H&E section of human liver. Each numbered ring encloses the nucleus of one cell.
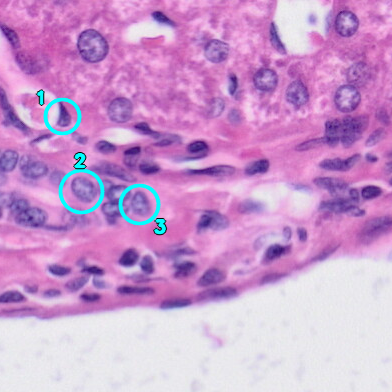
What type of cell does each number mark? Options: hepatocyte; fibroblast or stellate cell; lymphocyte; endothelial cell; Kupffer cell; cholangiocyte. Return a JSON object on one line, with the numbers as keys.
{"1": "fibroblast or stellate cell", "2": "cholangiocyte", "3": "cholangiocyte"}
